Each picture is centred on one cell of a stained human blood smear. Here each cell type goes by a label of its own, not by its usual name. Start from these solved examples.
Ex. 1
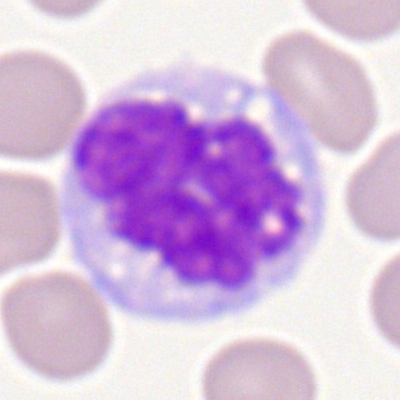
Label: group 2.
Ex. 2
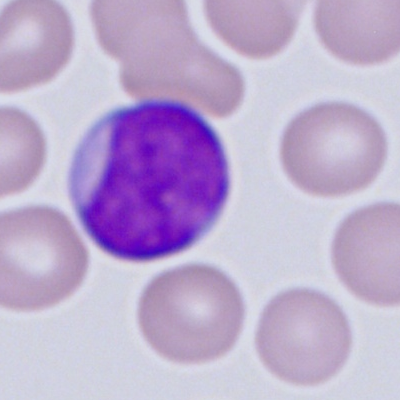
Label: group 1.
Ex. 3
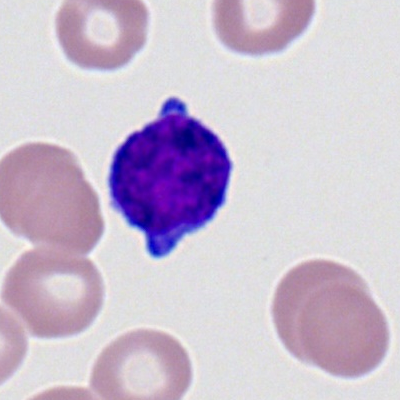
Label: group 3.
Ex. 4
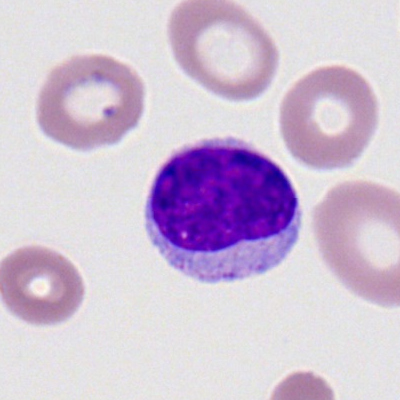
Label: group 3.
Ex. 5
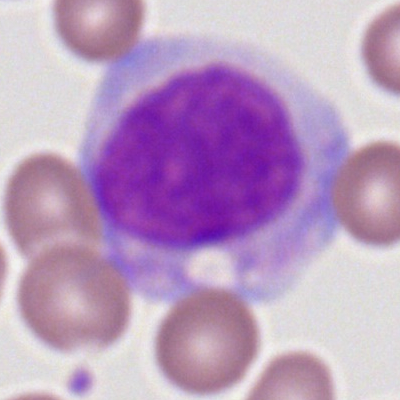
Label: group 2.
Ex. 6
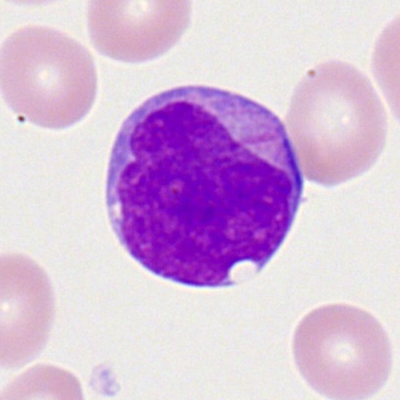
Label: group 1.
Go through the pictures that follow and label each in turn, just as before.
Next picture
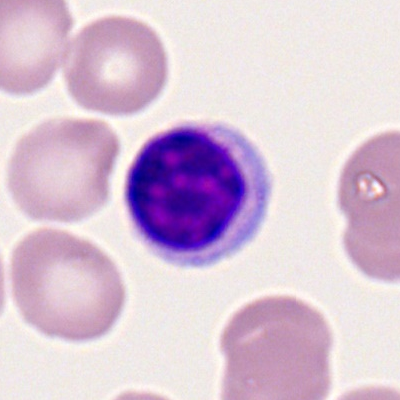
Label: group 3.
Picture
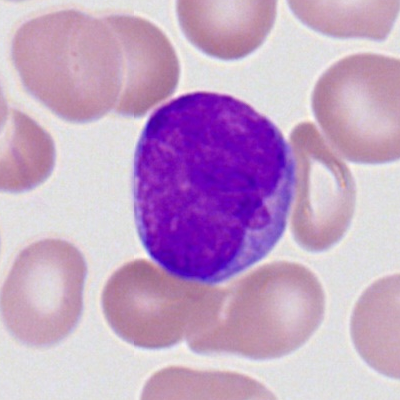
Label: group 1.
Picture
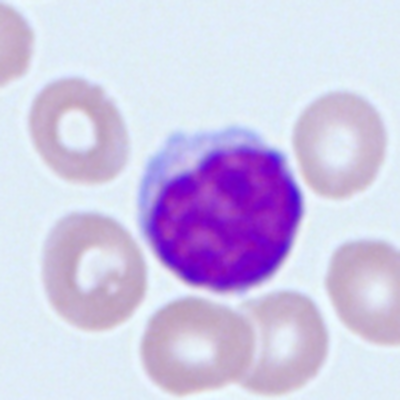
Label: group 3.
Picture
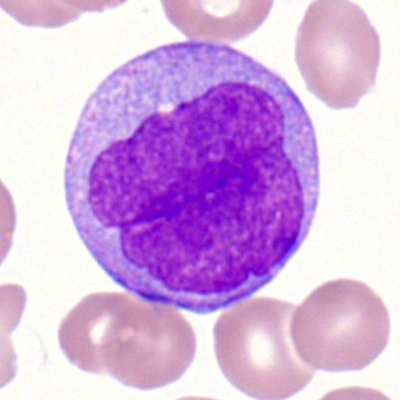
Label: group 1.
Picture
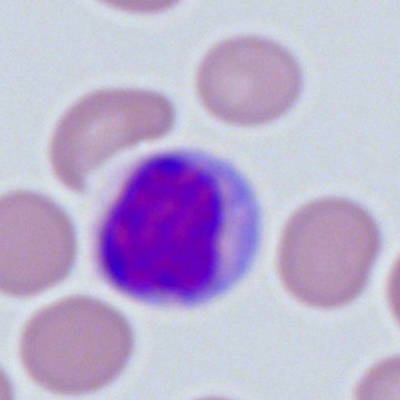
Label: group 3.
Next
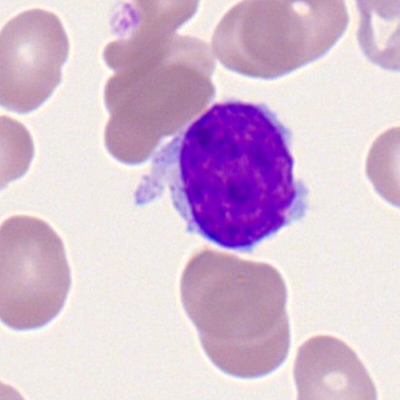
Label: group 3.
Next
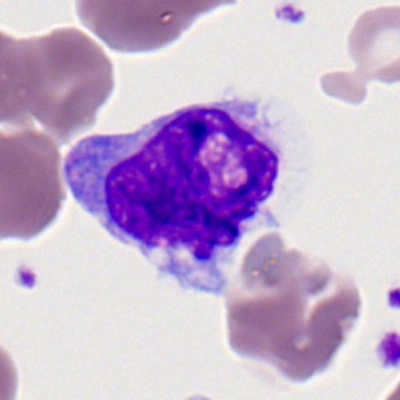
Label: group 2.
